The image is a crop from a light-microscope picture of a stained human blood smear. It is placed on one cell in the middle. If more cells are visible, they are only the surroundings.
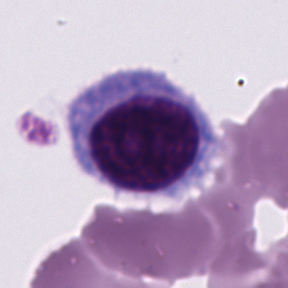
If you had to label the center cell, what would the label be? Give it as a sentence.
The cell around which this crop is centred is a hairy cell.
